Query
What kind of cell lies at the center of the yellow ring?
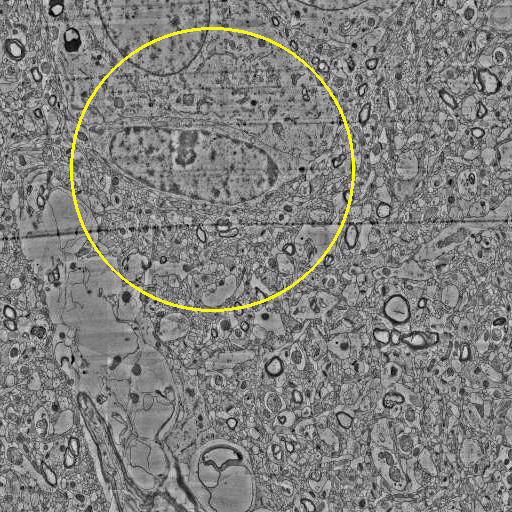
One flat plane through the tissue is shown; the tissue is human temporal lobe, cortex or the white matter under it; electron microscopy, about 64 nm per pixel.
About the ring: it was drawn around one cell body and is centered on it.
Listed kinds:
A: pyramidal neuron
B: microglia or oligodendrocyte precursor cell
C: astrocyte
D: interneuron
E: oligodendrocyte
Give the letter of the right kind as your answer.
B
